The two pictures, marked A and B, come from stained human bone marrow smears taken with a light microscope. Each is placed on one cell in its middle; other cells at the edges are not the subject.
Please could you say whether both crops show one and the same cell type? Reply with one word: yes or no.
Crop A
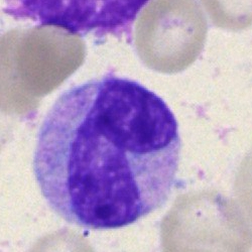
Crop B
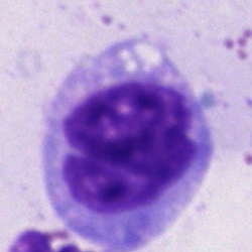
yes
